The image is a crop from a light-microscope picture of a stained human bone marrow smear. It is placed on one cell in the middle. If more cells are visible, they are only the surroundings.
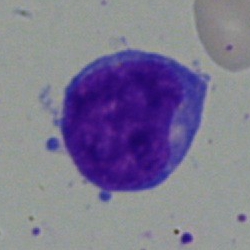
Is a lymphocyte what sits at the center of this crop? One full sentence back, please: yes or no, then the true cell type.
No, wrong label: the middle cell is a blast instead of a lymphocyte.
